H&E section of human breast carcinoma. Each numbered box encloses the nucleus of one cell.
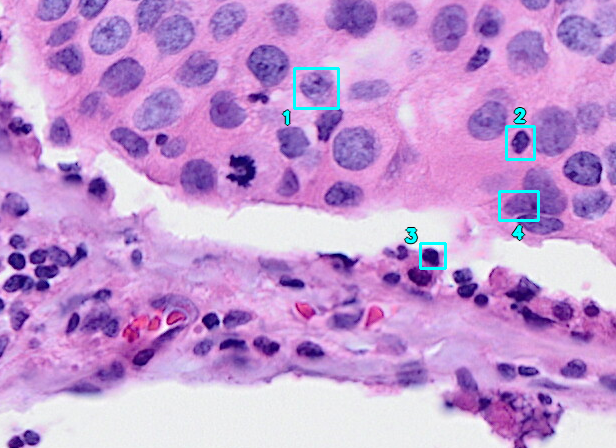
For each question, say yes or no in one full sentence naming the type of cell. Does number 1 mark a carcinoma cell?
Yes, the cell identified as number 1 is a carcinoma cell.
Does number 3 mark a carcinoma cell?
No, cell 3 represents a lymphocyte rather than a carcinoma cell.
